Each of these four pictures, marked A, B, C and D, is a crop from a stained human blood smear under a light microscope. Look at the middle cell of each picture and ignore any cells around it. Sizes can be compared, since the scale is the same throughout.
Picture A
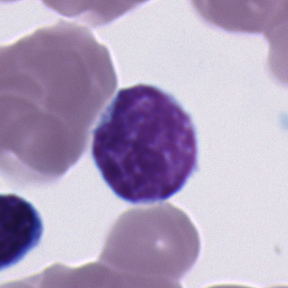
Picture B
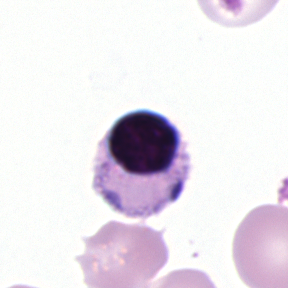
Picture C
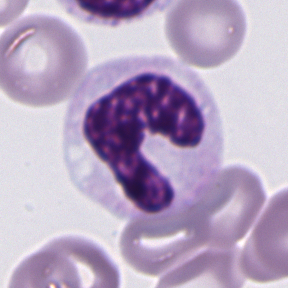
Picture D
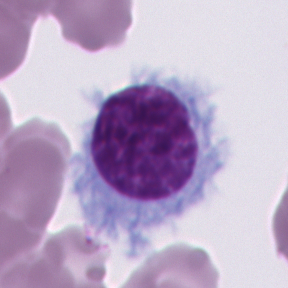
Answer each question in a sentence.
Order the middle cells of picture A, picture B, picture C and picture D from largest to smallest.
Largest first: C, D, A, B.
